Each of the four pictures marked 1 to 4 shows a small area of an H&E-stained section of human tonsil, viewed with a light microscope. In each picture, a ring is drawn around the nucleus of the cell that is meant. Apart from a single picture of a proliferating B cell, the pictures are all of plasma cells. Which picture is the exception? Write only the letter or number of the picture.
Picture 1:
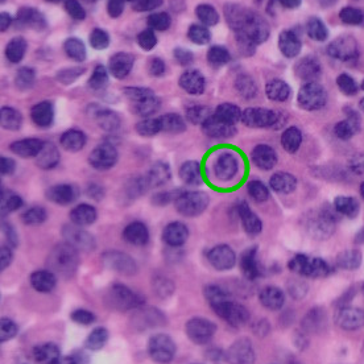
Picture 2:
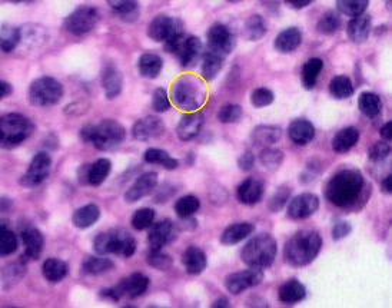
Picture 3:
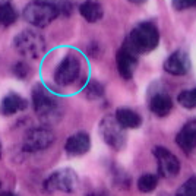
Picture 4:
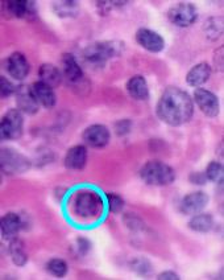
2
